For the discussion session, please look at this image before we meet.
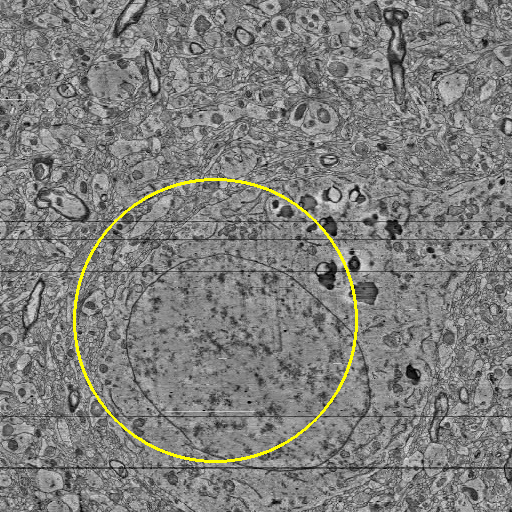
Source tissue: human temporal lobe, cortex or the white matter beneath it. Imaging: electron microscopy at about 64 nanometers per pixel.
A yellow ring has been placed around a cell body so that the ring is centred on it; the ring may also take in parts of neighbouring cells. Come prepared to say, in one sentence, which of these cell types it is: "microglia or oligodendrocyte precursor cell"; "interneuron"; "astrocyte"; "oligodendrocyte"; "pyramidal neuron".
The cell centred in the ring is a pyramidal neuron.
